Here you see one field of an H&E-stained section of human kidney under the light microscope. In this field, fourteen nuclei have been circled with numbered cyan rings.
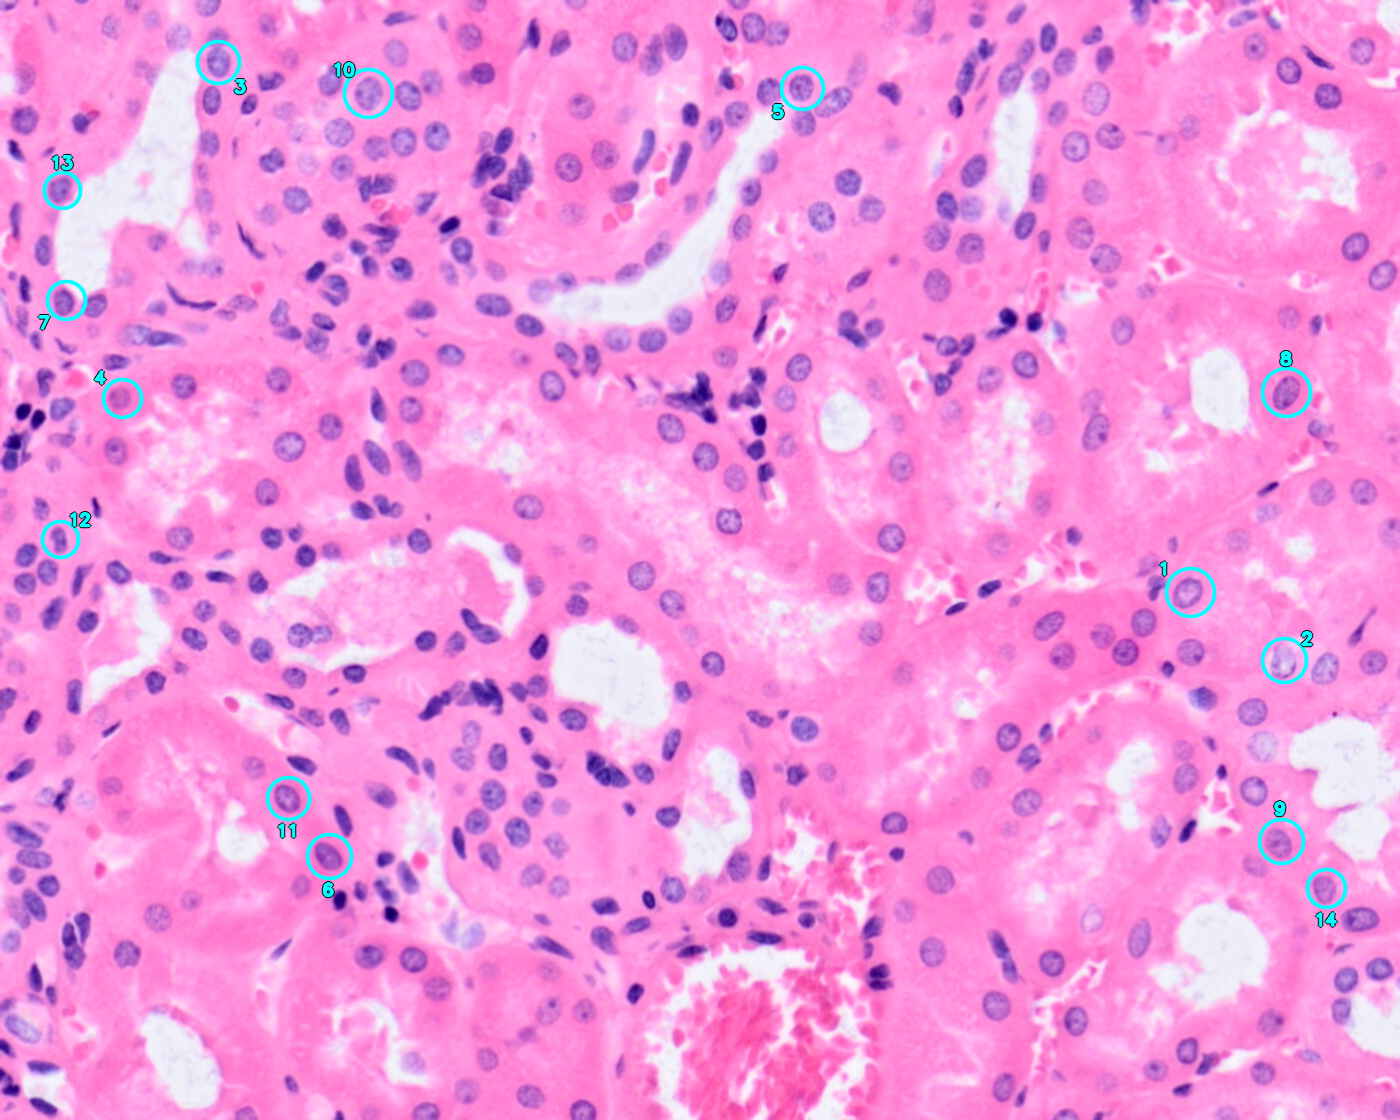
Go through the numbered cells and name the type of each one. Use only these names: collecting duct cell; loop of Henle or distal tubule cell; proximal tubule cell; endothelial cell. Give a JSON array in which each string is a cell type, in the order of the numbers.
["proximal tubule cell", "proximal tubule cell", "loop of Henle or distal tubule cell", "proximal tubule cell", "collecting duct cell", "proximal tubule cell", "loop of Henle or distal tubule cell", "proximal tubule cell", "proximal tubule cell", "loop of Henle or distal tubule cell", "proximal tubule cell", "loop of Henle or distal tubule cell", "loop of Henle or distal tubule cell", "proximal tubule cell"]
